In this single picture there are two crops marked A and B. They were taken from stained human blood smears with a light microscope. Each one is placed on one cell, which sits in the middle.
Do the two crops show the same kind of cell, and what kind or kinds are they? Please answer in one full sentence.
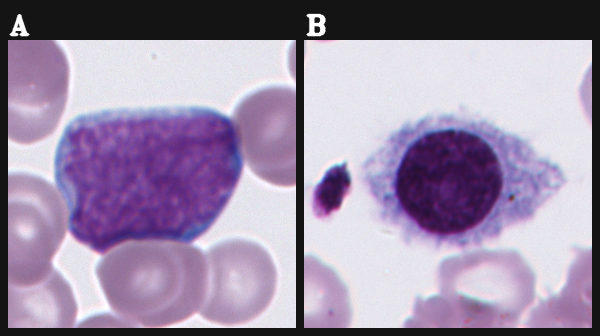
No, crop A captures a myeloblast; meanwhile crop B captures a hairy cell.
